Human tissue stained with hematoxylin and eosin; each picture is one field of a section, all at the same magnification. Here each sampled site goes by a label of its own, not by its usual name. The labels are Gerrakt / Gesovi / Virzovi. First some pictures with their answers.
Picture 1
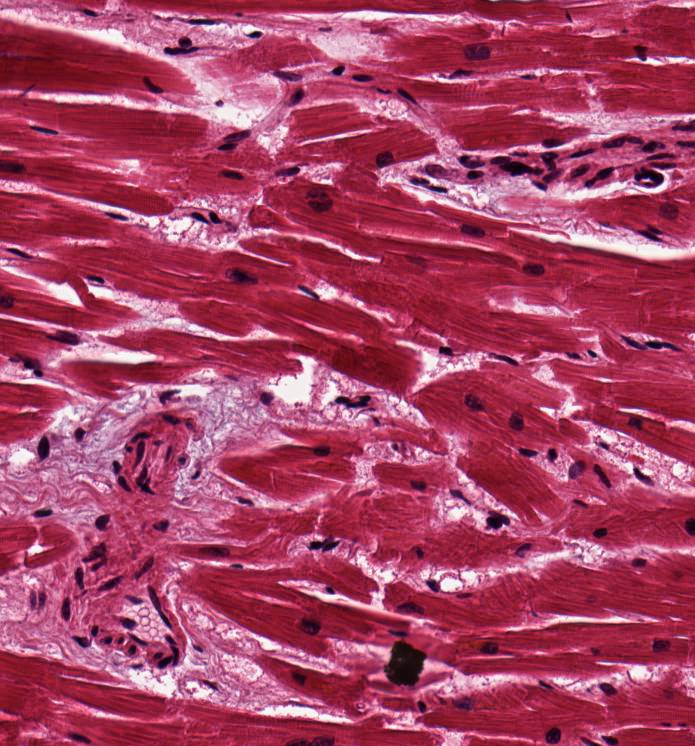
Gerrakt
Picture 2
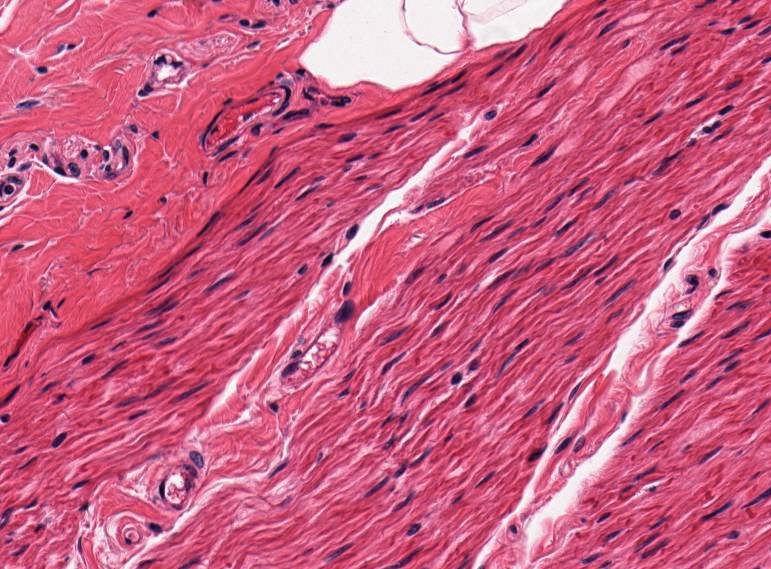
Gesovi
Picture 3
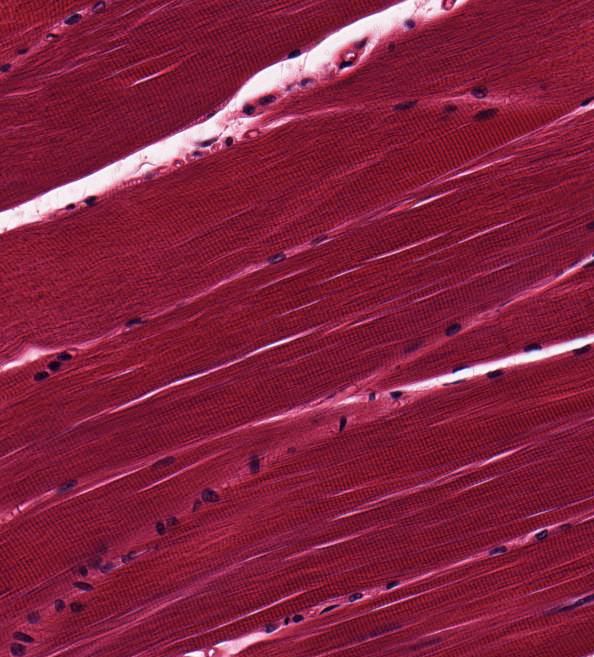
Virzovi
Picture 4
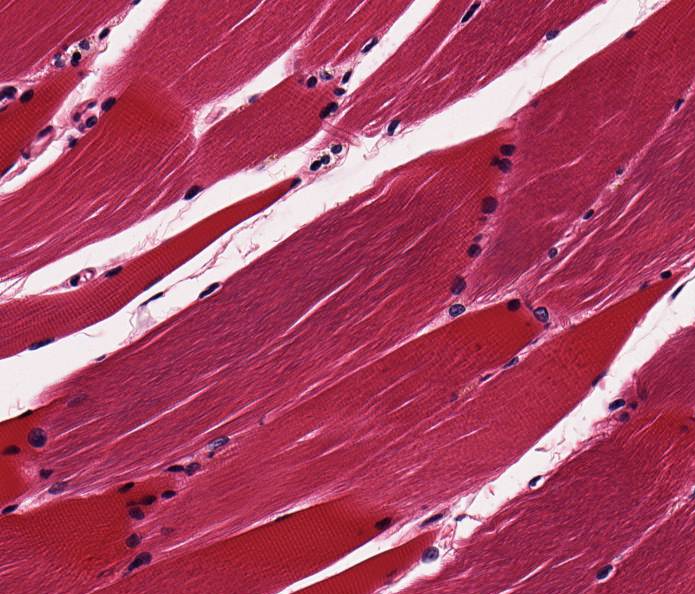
Virzovi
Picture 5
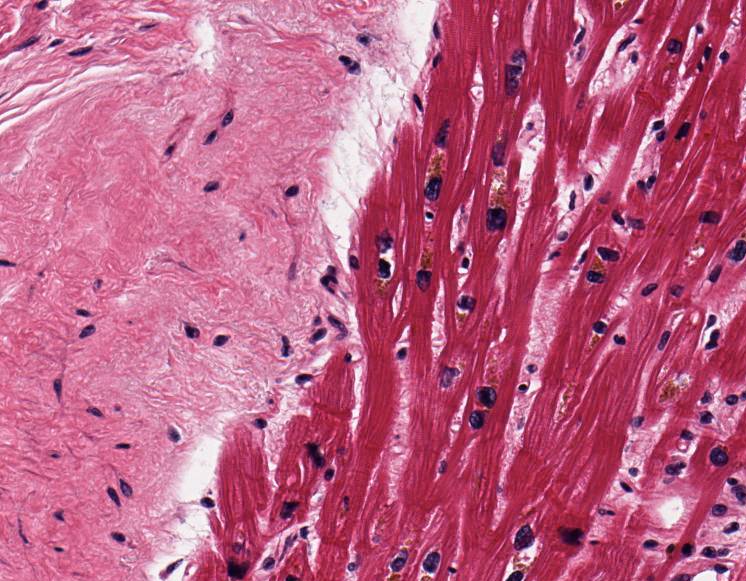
Gerrakt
